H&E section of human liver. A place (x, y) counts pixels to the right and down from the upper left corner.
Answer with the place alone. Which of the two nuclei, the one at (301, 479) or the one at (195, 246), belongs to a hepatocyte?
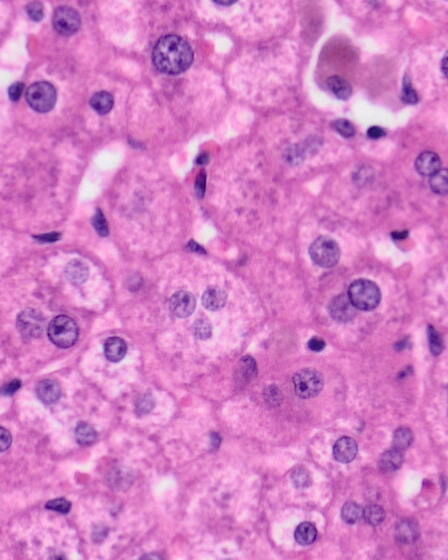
(301, 479)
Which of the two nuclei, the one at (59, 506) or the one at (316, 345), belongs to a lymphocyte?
(316, 345)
